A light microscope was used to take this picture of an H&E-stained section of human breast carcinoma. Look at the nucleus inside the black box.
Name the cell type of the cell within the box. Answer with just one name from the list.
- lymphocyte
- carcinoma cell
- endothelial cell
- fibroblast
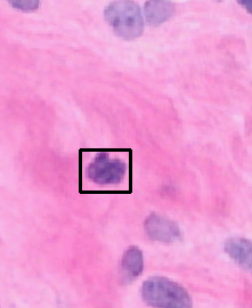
lymphocyte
